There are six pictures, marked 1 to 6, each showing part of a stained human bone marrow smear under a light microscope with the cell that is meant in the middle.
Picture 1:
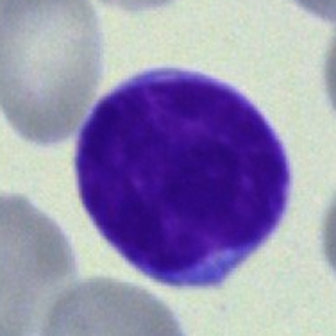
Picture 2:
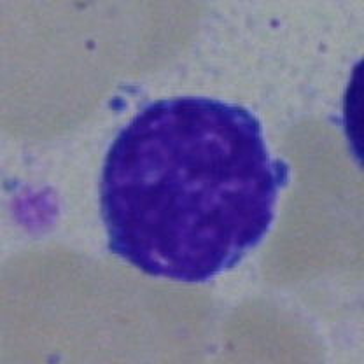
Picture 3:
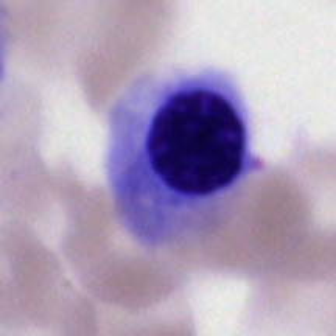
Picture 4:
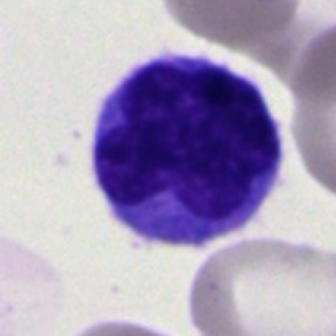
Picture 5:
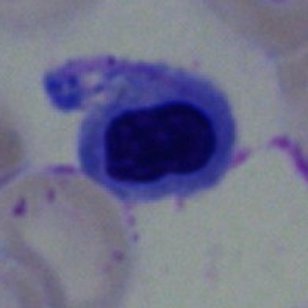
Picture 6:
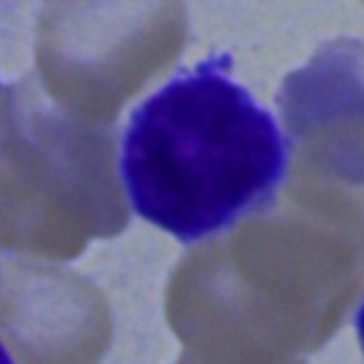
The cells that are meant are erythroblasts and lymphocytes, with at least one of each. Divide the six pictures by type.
1: lymphocyte
2: lymphocyte
3: erythroblast
4: lymphocyte
5: erythroblast
6: lymphocyte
